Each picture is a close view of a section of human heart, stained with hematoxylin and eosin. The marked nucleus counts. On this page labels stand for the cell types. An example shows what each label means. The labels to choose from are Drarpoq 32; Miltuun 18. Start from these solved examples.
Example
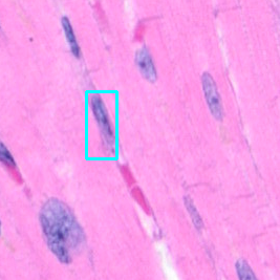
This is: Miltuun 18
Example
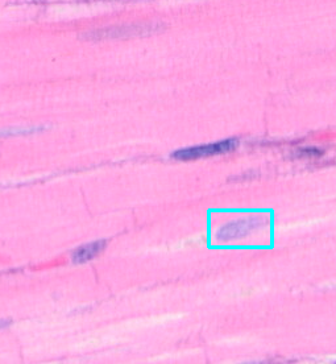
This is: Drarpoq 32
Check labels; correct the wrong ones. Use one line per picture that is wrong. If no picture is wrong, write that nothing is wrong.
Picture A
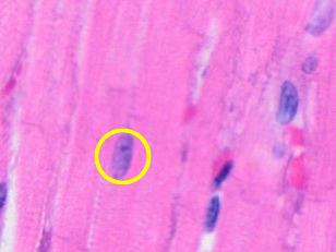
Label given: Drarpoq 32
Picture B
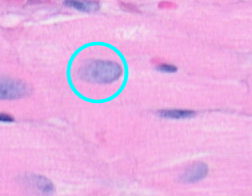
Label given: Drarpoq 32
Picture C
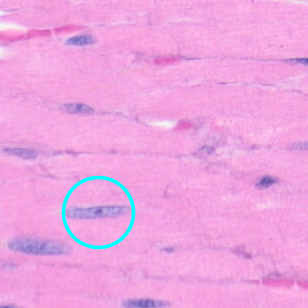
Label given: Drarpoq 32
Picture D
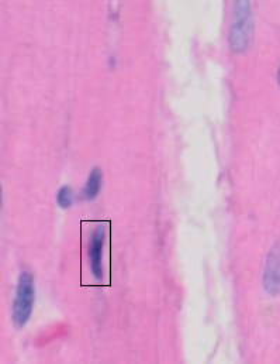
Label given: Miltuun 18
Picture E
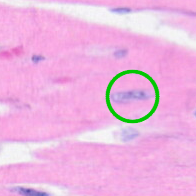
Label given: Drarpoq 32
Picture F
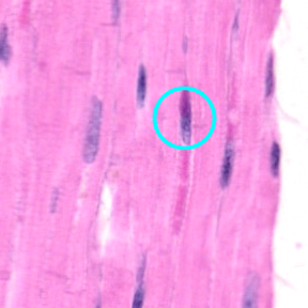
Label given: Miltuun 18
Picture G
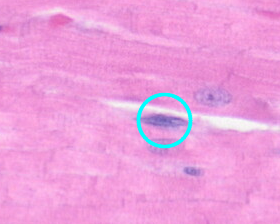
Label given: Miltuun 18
No label is wrong.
